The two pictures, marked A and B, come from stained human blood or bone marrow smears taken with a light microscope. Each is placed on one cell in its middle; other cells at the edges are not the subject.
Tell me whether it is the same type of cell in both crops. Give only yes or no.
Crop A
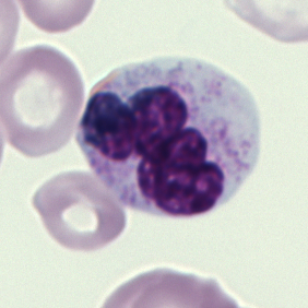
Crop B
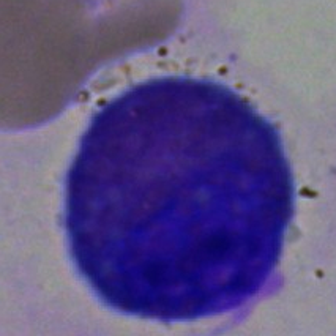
no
